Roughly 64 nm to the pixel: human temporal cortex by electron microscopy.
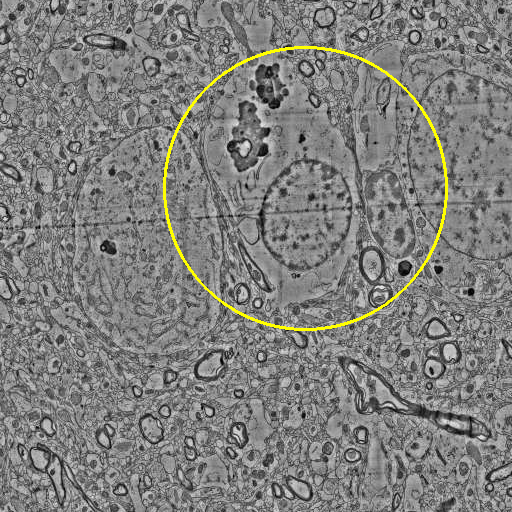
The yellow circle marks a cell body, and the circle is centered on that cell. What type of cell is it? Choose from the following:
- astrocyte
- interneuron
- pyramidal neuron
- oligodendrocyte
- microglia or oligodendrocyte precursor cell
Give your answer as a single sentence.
This cell body belongs to an astrocyte.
